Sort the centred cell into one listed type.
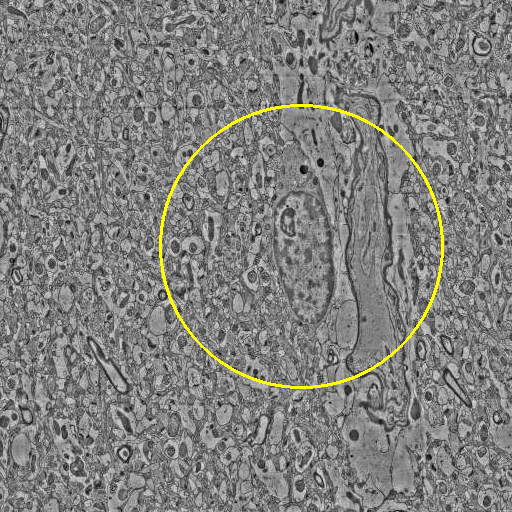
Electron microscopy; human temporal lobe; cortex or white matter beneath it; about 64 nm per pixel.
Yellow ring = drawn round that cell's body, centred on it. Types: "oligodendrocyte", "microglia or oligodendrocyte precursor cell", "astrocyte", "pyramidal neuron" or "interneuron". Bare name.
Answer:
oligodendrocyte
